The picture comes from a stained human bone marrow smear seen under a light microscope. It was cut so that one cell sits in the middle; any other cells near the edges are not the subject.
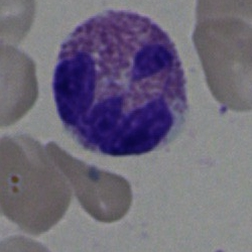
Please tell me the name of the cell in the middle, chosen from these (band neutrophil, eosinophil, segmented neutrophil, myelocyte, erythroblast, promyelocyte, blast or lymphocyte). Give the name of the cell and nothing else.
eosinophil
